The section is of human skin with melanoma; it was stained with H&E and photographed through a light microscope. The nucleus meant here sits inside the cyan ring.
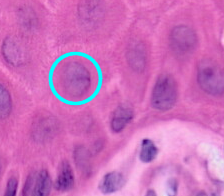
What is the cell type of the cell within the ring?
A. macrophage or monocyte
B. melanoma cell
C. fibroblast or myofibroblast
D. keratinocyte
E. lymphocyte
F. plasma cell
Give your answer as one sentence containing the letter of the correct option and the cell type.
Of the options given, D is right: the cell within the ring is a keratinocyte.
